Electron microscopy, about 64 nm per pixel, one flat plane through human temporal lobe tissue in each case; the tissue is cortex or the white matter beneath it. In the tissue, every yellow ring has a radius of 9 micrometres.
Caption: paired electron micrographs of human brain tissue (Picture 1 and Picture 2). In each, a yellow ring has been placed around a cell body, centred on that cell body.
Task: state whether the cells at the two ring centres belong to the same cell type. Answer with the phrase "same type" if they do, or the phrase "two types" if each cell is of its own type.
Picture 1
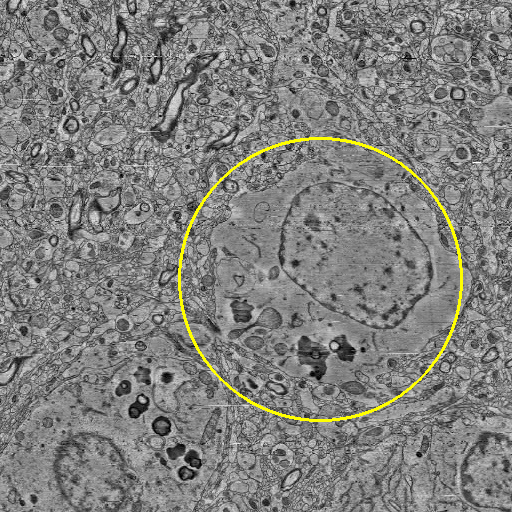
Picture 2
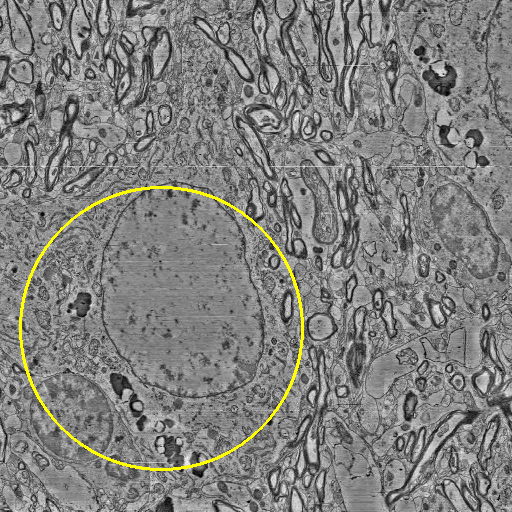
two types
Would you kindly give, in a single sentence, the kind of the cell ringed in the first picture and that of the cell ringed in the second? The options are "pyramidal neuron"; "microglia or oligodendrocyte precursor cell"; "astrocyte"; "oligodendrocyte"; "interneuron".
The second cell is a pyramidal neuron, and the first cell is an astrocyte.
